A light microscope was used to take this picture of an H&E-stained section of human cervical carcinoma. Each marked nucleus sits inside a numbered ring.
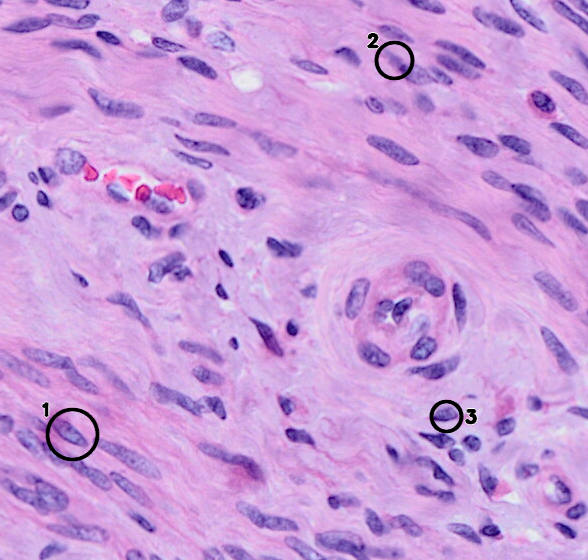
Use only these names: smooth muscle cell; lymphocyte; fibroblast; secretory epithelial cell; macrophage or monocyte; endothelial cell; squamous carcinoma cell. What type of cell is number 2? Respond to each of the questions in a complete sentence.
Cell 2 should be recorded as a fibroblast.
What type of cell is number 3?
The marked nucleus 3 is that of a fibroblast.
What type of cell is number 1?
The cell numbered 1 has been identified as a smooth muscle cell.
